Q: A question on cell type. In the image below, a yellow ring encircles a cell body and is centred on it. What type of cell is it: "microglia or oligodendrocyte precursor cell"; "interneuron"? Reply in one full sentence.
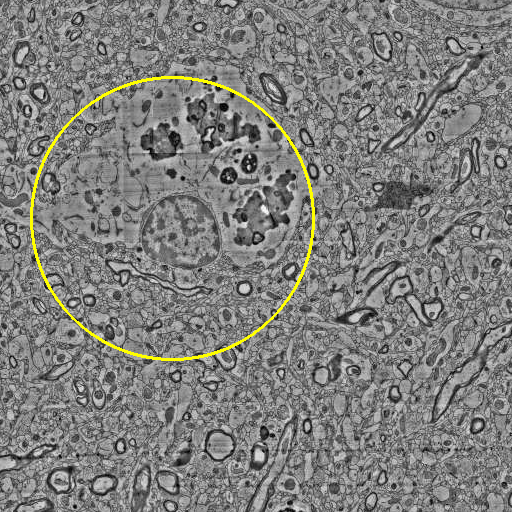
It is a microglial cell or oligodendrocyte precursor cell whose cell body sits at the centre of the yellow ring in the image.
